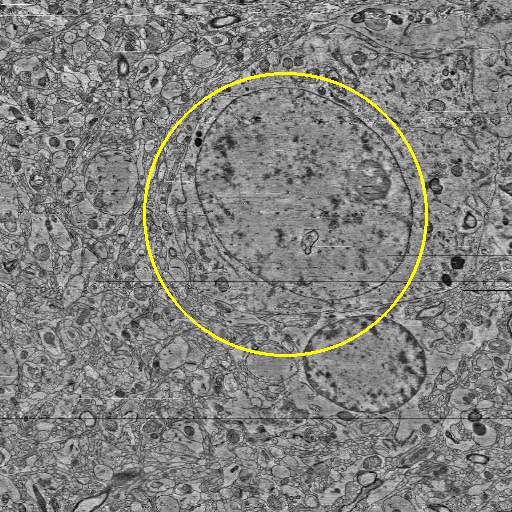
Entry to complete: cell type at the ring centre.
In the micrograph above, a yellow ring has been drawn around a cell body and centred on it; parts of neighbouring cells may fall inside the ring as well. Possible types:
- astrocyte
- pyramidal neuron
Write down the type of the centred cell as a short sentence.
The ring is centred on a pyramidal neuron.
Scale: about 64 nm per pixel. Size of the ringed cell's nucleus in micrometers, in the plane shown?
The nucleus of the ringed cell is approximately 15 by 13 micrometres in this plane.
